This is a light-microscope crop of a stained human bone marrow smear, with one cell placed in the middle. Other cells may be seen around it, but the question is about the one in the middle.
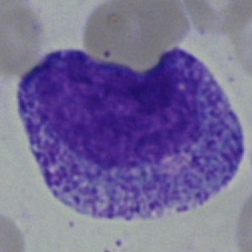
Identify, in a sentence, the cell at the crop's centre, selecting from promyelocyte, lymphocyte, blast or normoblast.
The cell at the middle of the frame should be recorded as a promyelocyte.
